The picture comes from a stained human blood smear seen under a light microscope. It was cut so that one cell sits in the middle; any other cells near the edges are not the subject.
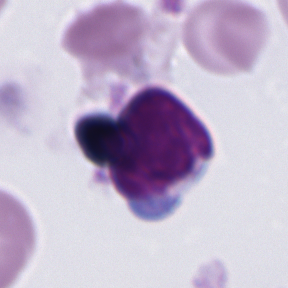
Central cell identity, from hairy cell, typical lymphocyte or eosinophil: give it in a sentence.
At the crop's centre, the cell is a typical lymphocyte.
